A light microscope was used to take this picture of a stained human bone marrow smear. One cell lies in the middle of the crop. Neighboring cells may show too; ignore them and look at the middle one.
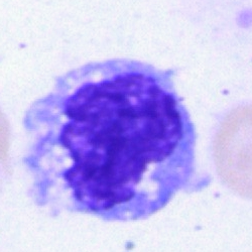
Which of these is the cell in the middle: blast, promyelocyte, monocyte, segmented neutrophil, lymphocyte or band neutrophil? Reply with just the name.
monocyte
